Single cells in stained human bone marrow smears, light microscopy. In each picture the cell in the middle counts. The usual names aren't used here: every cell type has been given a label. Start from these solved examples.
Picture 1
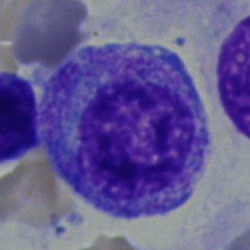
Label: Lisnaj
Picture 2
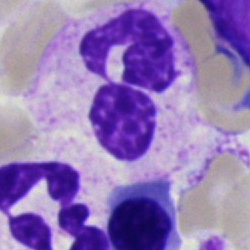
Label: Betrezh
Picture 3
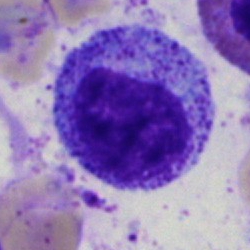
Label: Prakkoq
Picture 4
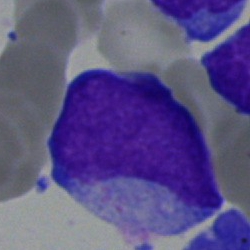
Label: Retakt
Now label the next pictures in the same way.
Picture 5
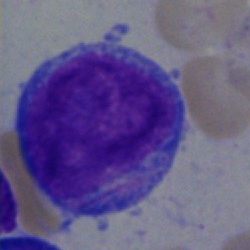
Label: Retakt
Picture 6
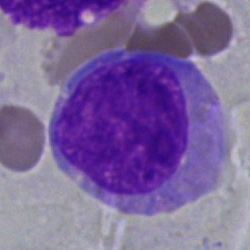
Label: Retakt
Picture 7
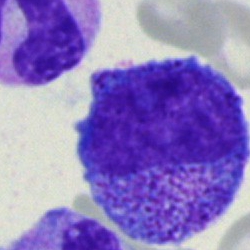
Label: Prakkoq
